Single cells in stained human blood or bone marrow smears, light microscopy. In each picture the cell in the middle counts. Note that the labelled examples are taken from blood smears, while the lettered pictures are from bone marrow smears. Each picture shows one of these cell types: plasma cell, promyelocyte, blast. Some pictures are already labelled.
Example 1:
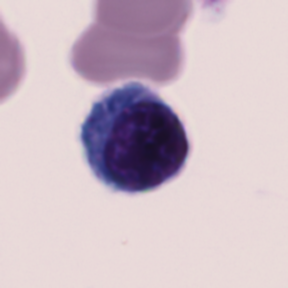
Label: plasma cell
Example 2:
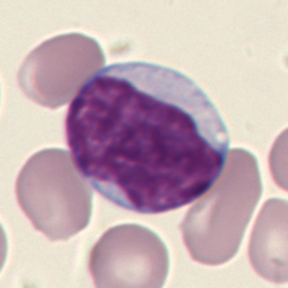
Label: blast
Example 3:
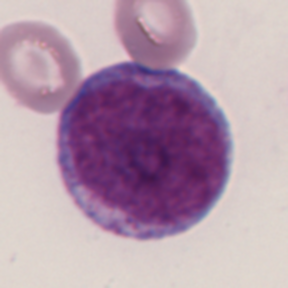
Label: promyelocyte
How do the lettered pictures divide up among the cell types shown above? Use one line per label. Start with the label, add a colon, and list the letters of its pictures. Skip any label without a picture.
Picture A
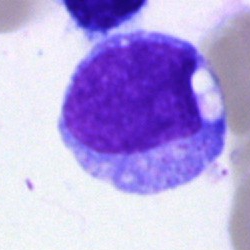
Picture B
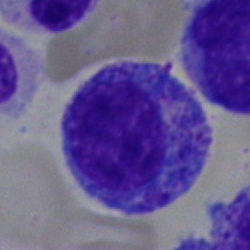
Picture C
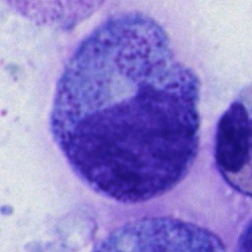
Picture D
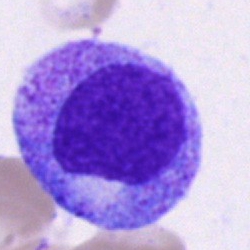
promyelocyte: B, C, D
blast: A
